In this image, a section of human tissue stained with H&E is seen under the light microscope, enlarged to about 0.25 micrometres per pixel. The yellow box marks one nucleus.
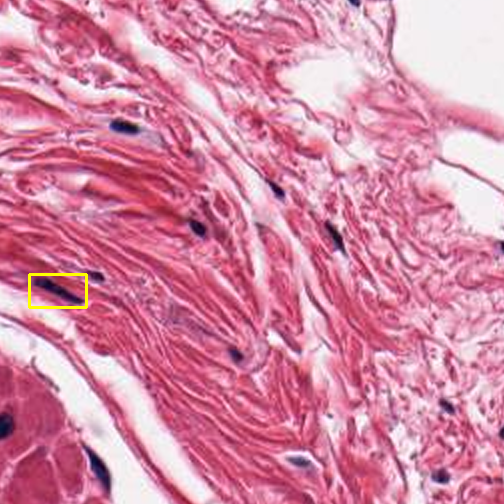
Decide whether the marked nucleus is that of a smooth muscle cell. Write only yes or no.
no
